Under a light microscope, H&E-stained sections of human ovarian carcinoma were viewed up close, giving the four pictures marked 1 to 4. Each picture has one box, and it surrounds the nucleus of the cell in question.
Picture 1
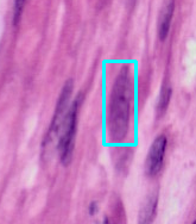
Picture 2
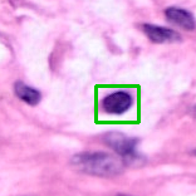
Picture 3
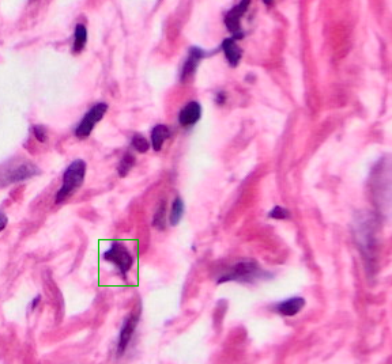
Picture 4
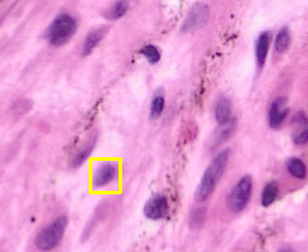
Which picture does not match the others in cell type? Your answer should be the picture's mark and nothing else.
2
